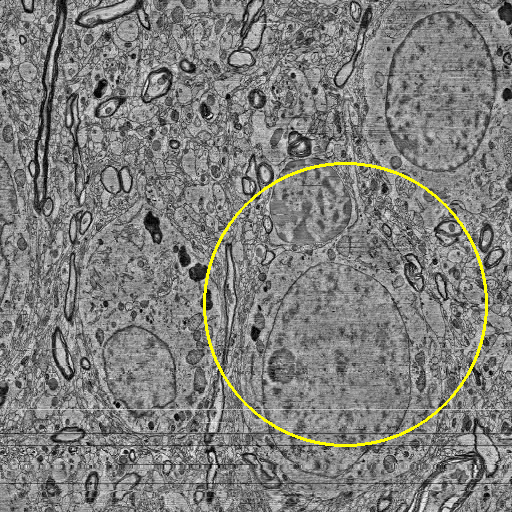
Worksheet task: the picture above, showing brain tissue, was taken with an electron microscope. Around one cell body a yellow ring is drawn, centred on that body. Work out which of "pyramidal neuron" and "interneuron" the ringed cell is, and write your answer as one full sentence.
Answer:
It is a pyramidal neuron whose cell body lies at the centre of the yellow ring.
